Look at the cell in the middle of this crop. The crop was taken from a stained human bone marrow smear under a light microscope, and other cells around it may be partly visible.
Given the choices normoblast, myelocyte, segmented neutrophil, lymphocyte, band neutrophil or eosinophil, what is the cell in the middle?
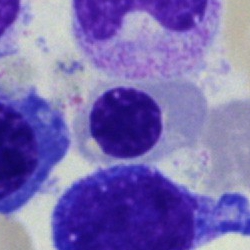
normoblast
